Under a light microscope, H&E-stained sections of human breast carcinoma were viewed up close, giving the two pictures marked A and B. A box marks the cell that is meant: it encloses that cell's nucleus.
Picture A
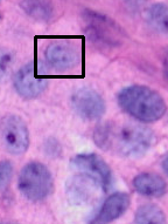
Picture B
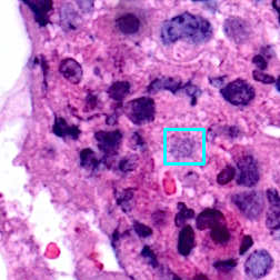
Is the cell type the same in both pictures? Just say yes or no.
no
